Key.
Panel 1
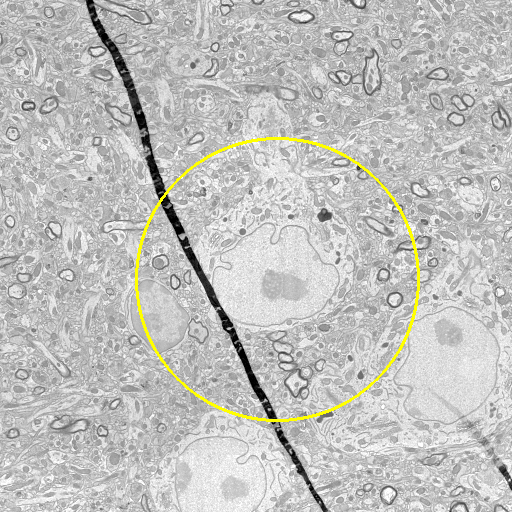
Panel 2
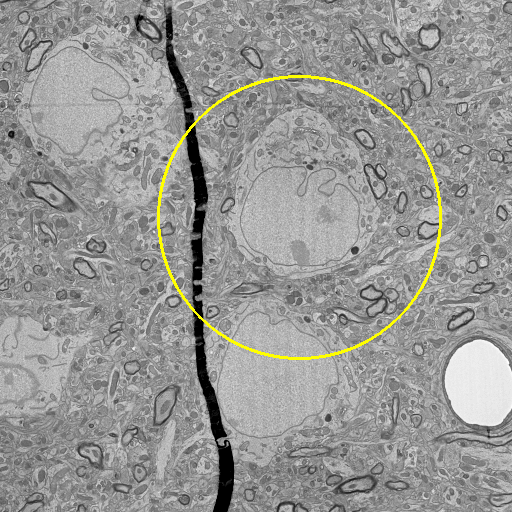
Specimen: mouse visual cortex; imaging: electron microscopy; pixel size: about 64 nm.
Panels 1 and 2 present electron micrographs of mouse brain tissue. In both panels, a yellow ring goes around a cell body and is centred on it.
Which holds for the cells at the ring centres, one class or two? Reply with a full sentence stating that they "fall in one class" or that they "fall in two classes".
Taken together, the ring-centre cells of the two panels fall in one class.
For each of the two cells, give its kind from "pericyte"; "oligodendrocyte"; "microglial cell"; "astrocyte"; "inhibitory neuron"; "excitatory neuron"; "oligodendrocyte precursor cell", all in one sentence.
Both pictures show an excitatory neuron at the centre of the ring.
